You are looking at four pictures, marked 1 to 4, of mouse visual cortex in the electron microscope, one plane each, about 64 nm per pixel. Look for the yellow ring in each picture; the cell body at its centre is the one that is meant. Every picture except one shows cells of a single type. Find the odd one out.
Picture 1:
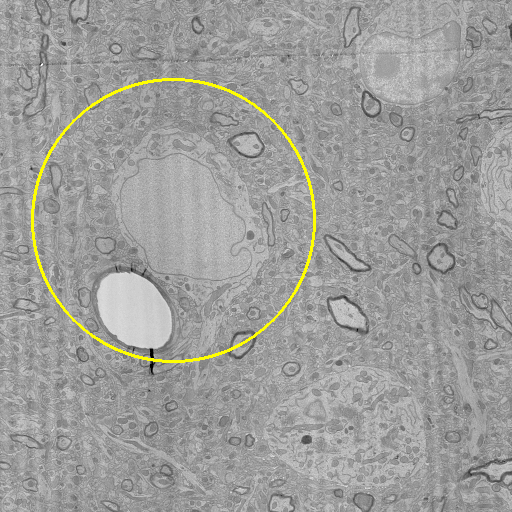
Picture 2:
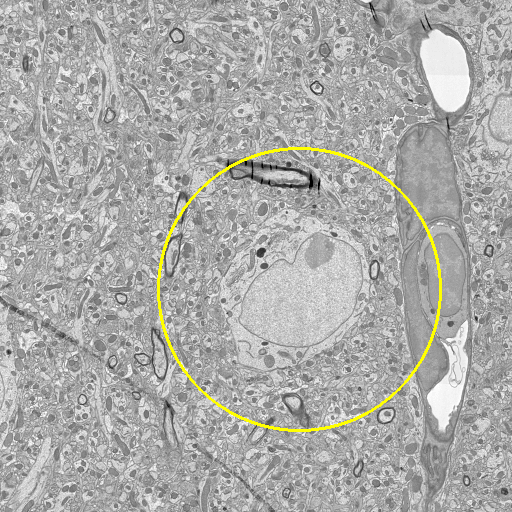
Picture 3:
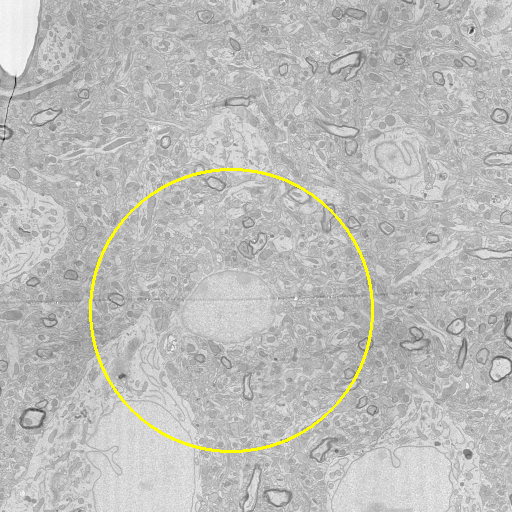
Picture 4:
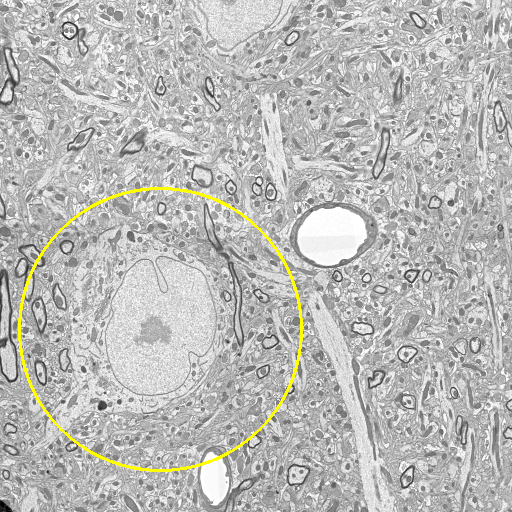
Picture 3 is the odd one out: it shows an astrocyte, while the others show excitatory neurons.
